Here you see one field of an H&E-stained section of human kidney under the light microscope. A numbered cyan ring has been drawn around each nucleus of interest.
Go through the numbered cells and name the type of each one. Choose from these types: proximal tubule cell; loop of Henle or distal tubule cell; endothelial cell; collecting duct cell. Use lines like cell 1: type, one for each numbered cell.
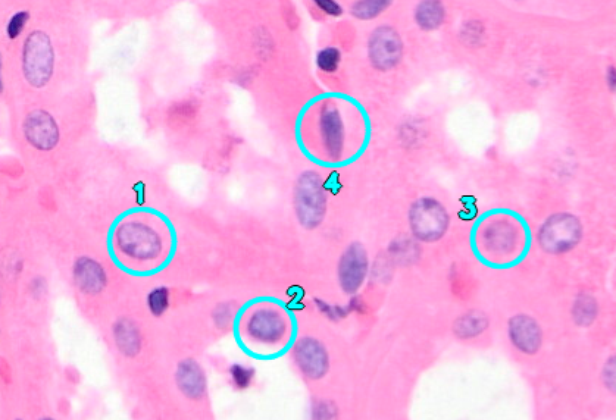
cell 1: proximal tubule cell
cell 2: loop of Henle or distal tubule cell
cell 3: proximal tubule cell
cell 4: endothelial cell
